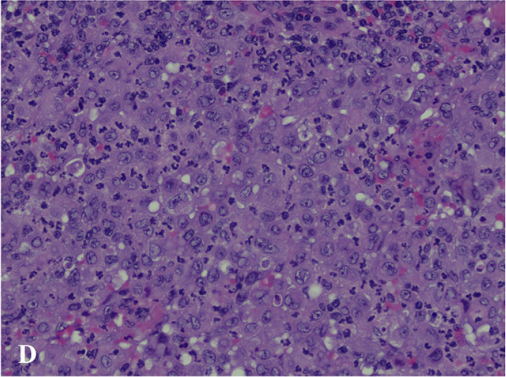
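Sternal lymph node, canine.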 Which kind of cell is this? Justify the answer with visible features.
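Large rounded cells with round nuclei and prominent nucleoli form sheets. Cells and nuclei vary in size. Small dark lymphocytes are scattered among them.
Answer: pleomorphic round cells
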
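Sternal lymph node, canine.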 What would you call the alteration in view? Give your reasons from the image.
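Marked anisocytosis and anisokaryosis. The large cells differ clearly in size. Their nuclei differ clearly in size.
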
